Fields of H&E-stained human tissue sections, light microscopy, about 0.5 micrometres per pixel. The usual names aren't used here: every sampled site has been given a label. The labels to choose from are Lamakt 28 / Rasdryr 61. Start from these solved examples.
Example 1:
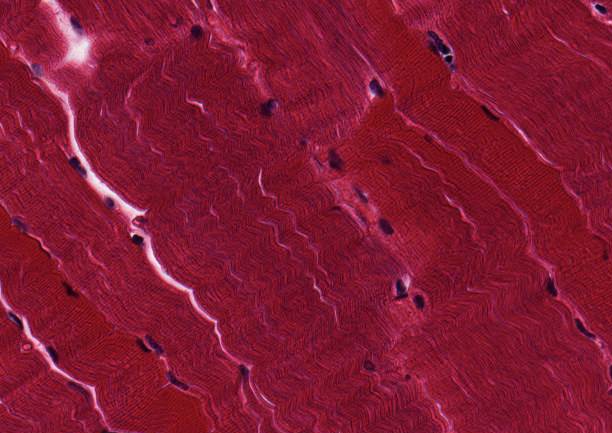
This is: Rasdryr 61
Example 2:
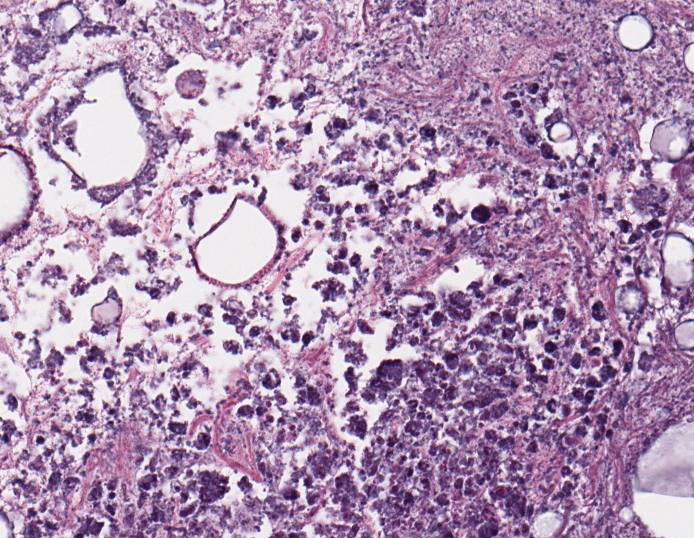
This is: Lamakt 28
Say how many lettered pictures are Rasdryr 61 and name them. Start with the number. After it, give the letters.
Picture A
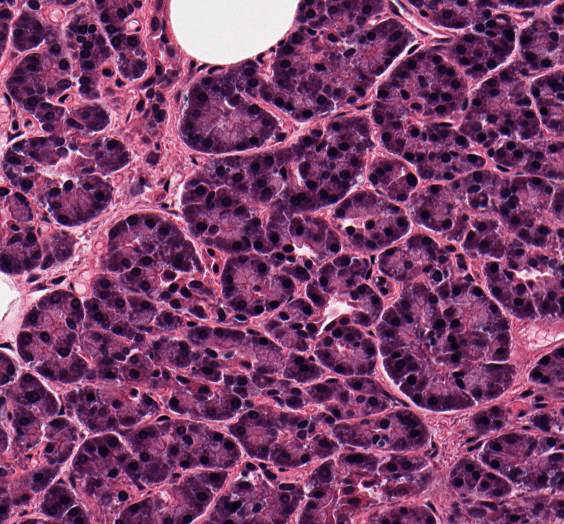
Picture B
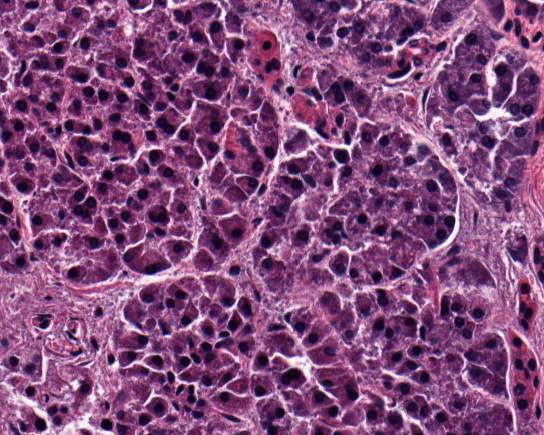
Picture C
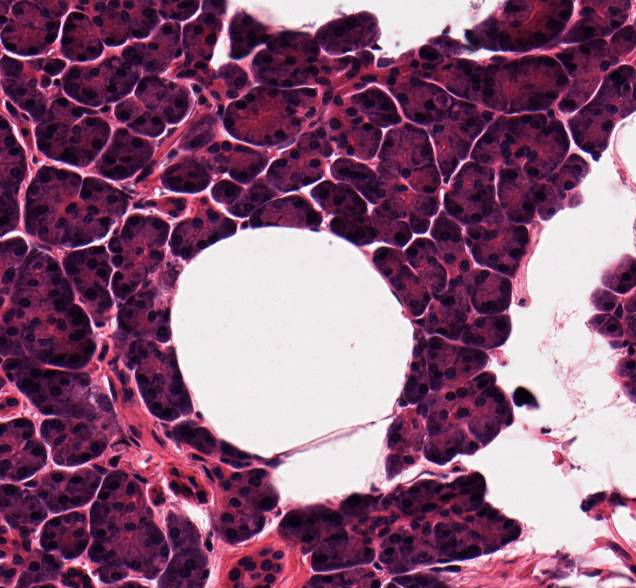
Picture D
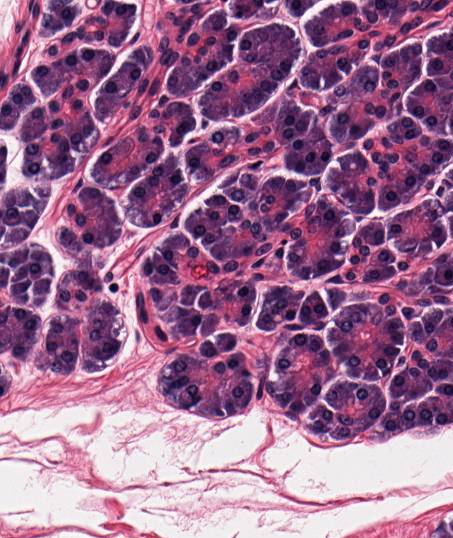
0, none of them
